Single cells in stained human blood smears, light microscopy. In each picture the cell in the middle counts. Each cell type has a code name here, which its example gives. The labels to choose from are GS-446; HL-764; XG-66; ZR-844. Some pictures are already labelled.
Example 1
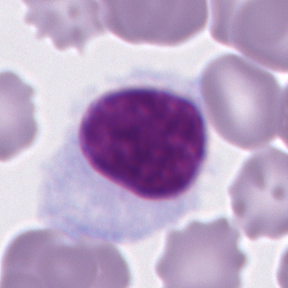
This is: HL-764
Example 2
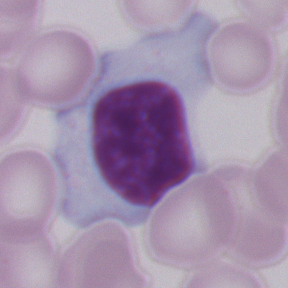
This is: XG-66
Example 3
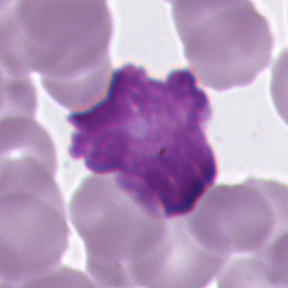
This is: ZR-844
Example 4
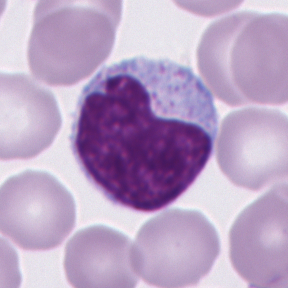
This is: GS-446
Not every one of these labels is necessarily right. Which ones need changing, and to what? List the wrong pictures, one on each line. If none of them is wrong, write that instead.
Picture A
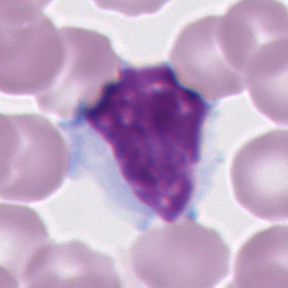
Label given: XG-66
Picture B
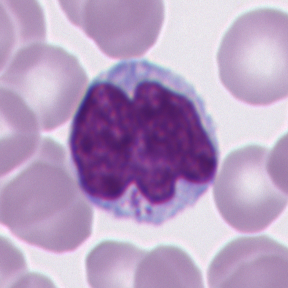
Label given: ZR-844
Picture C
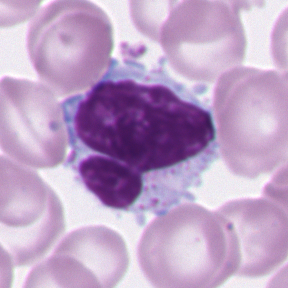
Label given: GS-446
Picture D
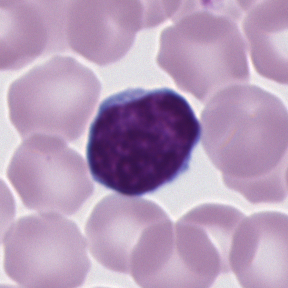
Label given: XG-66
B: change ZR-844 to GS-446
